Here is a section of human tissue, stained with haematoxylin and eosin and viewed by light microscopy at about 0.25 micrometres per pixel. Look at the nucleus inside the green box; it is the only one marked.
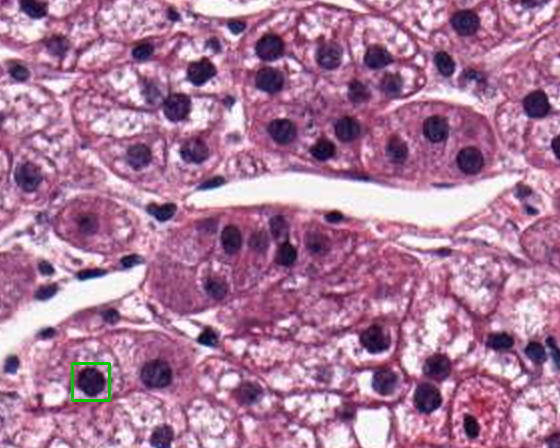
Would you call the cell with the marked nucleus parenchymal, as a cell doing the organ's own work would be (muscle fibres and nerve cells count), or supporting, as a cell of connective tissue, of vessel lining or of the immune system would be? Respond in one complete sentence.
The marked nucleus belongs to one of the parenchymal cells, namely an adrenal cortical cell.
